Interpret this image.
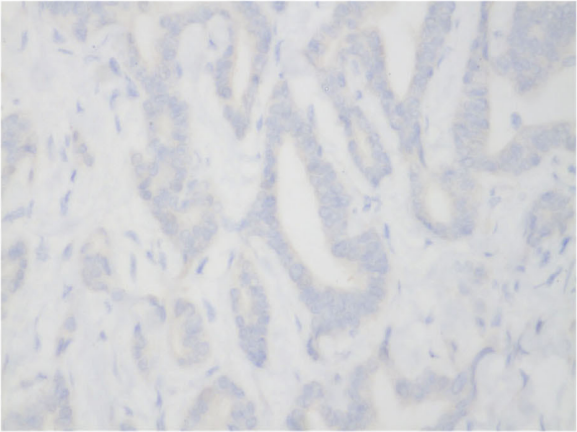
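Here a cancerous area shows elongated, angulated glands and tubules lined by epithelial cells. The cells form one to a few layers and have round nuclei counterstained pale blue. The glands run through a loose, pale fibrous stroma with thin spindle-shaped nuclei. None of the tumour nuclei are stained brown, so the section reads as negative.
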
